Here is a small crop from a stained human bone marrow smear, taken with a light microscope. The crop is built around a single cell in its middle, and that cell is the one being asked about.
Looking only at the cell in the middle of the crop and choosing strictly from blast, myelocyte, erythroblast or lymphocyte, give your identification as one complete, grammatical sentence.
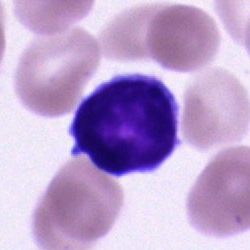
Where the crop is centred, there is a lymphocyte.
